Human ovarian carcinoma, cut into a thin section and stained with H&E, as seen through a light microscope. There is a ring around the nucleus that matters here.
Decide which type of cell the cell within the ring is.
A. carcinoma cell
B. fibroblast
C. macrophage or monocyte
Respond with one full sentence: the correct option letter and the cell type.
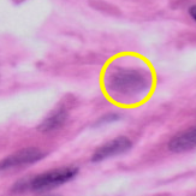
Option B gets it right: the cell within the ring is a fibroblast.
